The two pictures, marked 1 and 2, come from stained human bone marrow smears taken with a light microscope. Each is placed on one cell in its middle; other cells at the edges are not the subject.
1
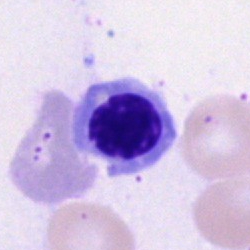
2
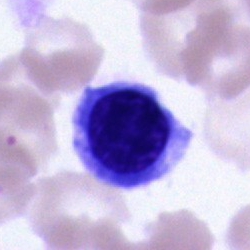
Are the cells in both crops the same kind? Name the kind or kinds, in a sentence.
Yes, these two crops both show normoblasts.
